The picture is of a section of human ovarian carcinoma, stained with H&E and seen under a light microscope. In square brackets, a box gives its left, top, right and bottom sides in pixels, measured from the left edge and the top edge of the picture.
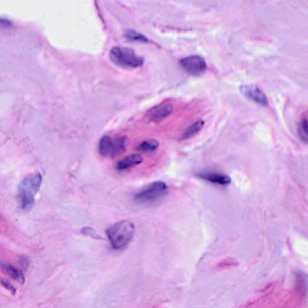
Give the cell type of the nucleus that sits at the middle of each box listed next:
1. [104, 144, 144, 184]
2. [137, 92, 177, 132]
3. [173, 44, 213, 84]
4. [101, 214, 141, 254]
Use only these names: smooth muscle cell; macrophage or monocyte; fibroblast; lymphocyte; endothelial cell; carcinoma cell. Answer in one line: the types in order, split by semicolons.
smooth muscle cell; smooth muscle cell; fibroblast; fibroblast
